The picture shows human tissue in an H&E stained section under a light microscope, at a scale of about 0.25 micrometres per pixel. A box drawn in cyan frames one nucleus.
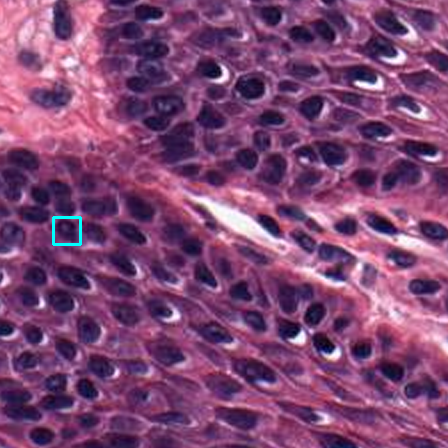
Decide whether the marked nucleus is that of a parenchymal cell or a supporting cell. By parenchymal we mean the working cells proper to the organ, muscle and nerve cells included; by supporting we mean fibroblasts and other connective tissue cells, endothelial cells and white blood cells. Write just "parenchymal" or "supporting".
parenchymal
